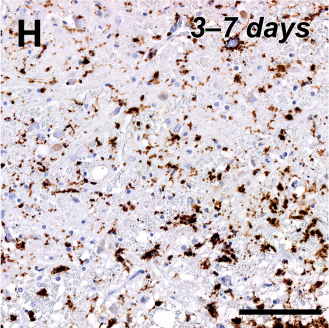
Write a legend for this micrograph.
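Pale, somewhat loosened brain tissue is crowded with many cells holding coarse, granular brown deposits, lying among small blue nuclei. Many of the brown cells are rounded or bulky with short, irregular processes, and some gather in clusters.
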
